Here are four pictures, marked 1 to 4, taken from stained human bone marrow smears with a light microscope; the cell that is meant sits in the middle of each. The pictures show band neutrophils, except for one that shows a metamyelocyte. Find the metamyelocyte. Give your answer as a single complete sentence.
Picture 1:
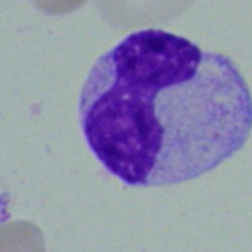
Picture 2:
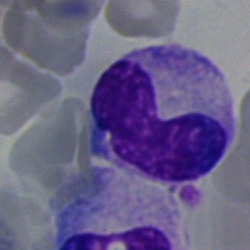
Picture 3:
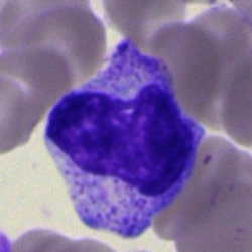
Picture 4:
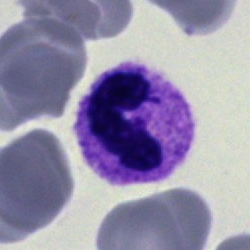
It is picture 3 that shows the metamyelocyte.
